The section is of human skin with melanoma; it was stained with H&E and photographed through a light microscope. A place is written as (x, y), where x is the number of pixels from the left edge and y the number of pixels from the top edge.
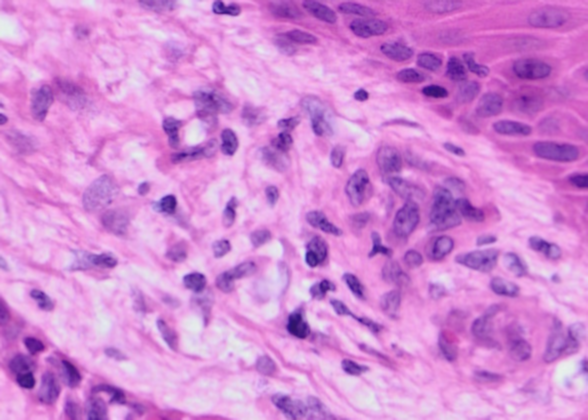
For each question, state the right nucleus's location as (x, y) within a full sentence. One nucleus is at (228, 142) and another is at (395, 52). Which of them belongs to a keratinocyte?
The nucleus at (395, 52) is identified as belonging to a keratinocyte.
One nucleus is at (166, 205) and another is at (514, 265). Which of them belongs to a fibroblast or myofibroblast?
Assigned to a fibroblast or myofibroblast is the nucleus located at (514, 265).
